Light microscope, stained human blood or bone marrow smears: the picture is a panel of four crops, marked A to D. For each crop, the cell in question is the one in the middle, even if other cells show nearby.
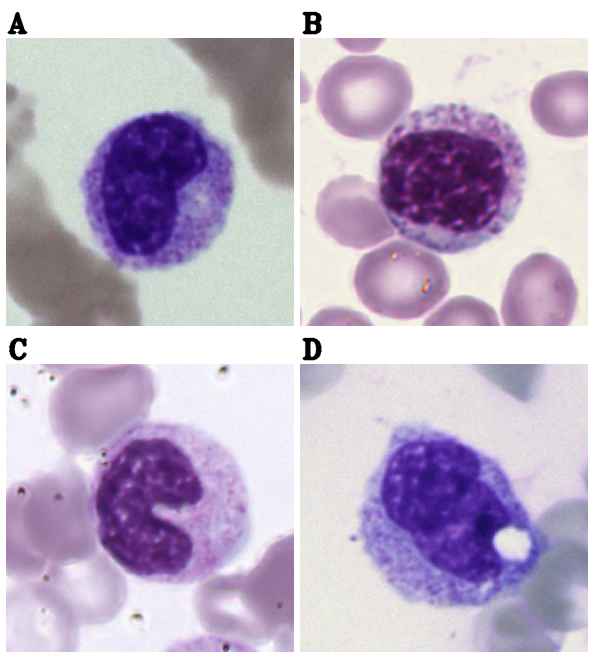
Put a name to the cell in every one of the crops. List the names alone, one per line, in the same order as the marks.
metamyelocyte
metamyelocyte
band neutrophil
metamyelocyte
